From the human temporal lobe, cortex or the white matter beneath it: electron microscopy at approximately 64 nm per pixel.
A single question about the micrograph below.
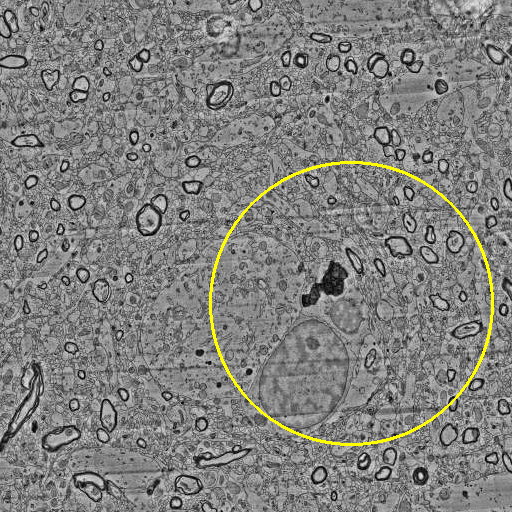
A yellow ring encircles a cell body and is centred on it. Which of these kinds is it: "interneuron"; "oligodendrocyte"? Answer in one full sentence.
The cell body at the centre of the yellow ring belongs to an oligodendrocyte.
